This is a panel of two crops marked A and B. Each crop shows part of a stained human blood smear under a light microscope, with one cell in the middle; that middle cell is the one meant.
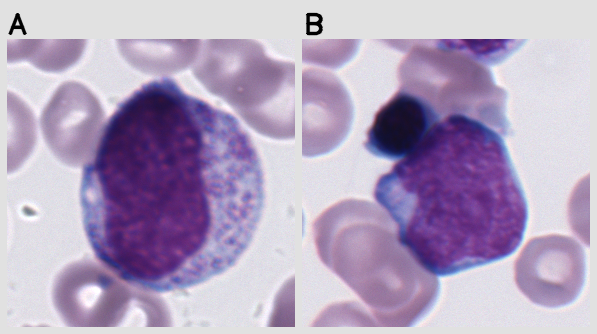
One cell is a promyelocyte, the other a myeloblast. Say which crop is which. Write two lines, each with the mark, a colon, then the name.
A: promyelocyte
B: myeloblast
